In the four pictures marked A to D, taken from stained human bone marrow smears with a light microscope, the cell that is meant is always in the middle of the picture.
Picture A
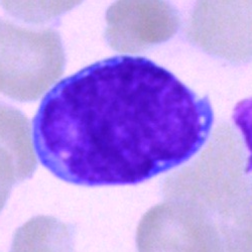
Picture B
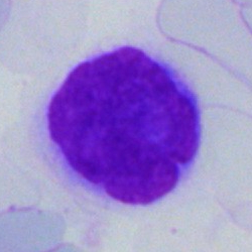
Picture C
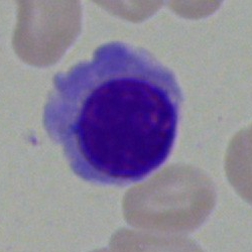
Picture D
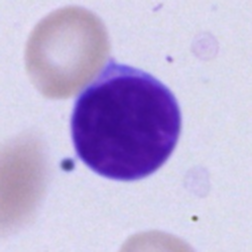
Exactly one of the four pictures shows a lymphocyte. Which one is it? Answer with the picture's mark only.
D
